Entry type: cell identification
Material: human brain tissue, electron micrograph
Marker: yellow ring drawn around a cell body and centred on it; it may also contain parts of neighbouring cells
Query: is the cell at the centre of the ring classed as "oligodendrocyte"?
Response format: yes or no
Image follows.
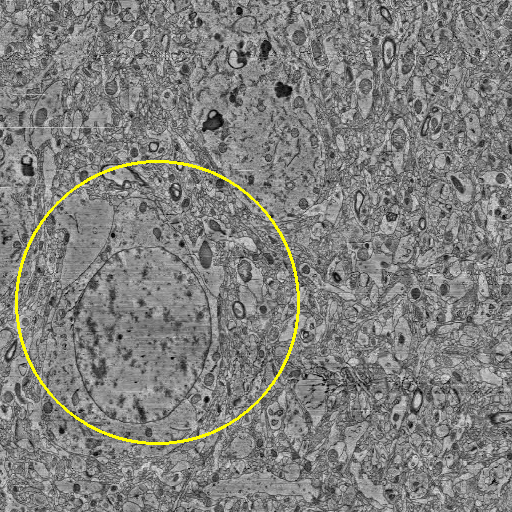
no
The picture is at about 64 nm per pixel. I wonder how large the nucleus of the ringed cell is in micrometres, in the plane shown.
In this plane, the nucleus is roughly 12 by 9 micrometres.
